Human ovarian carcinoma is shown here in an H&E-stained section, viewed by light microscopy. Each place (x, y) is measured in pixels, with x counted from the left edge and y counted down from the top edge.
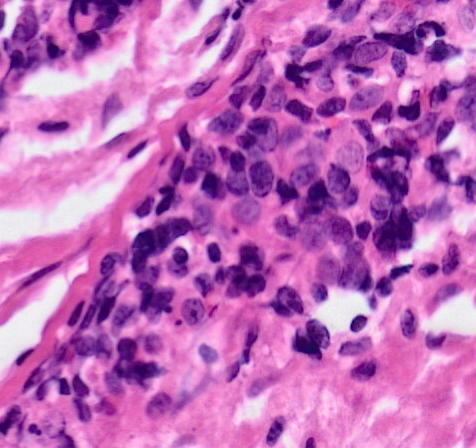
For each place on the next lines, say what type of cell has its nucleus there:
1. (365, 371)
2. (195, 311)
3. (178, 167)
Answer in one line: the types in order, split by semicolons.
fibroblast; macrophage or monocyte; carcinoma cell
